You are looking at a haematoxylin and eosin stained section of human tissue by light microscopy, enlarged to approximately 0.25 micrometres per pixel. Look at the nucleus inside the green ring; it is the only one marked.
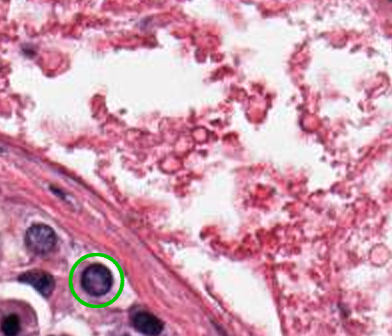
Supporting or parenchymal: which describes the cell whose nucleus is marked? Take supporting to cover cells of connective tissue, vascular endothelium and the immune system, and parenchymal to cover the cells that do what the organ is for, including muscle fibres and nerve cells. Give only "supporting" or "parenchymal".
parenchymal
